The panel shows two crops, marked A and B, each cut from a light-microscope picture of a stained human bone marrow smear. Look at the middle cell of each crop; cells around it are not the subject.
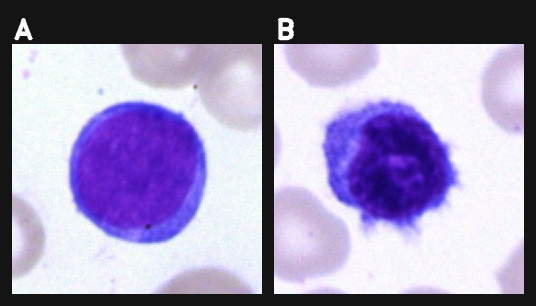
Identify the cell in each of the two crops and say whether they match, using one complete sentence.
No, crop A gives us a blast and crop B gives us a lymphocyte.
